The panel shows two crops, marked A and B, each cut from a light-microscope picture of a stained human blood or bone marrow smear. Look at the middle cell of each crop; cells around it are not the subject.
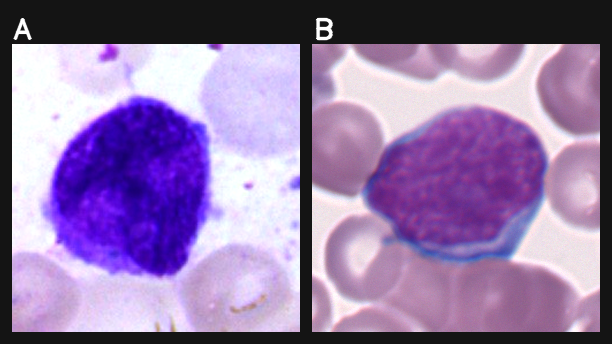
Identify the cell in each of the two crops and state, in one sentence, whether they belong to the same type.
Yes, the cells under consideration in both crops are blasts.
